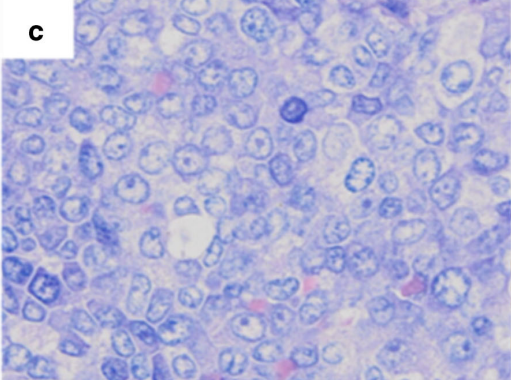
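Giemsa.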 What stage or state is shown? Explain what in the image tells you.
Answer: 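Blastoid morphology. Medium-sized cells with large round to oval nuclei and fine chromatin. Cells have a moderate rim of pale cytoplasm and lie closely packed.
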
